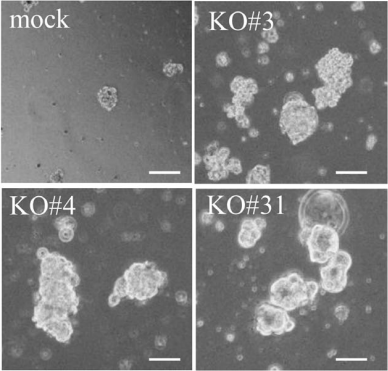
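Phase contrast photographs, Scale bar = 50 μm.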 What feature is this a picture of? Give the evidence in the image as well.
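Spheroids. Compact, rounded multicellular clusters of cells lie free on a plain background. Several clusters are large and lobulated, built of many rounded cells. Scattered single rounded cells lie around the clusters.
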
